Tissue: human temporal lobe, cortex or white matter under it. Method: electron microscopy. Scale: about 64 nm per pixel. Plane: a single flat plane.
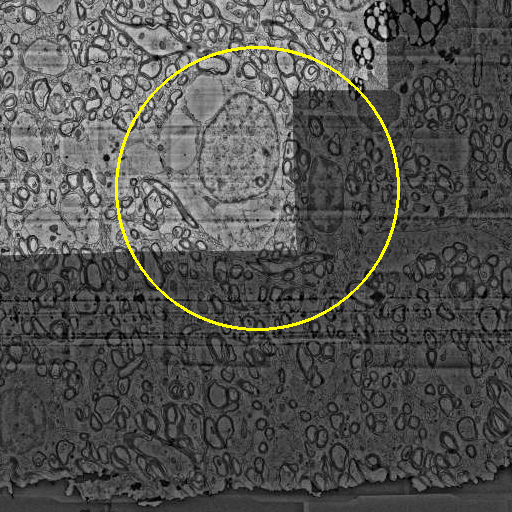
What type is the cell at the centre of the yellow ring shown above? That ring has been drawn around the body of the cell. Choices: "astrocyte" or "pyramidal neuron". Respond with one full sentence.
My answer is that an astrocyte lies at the centre of the yellow ring above.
